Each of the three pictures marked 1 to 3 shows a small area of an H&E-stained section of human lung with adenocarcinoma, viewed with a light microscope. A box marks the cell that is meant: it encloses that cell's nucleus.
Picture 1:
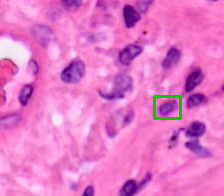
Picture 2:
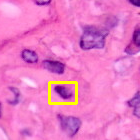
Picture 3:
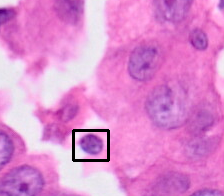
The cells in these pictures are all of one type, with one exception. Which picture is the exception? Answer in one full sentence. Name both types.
Picture 3 is the odd one out: it shows a lymphocyte, while the others show mast cells.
